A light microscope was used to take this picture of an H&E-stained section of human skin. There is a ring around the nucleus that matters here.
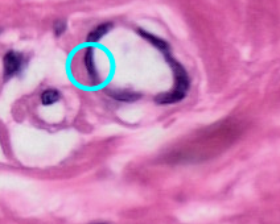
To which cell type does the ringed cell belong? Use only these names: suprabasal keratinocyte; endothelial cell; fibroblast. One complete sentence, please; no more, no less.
Labelled by cell type, the ringed cell is an endothelial cell.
